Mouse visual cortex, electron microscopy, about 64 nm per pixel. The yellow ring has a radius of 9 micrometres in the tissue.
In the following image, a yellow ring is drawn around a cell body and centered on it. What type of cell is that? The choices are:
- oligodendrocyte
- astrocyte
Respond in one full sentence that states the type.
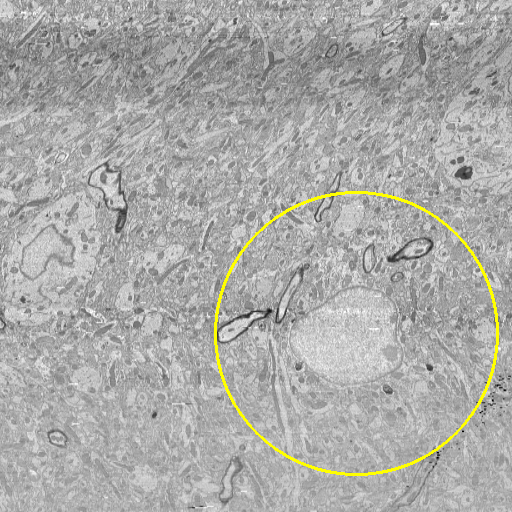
The cell at the center of the yellow ring in the image is an astrocyte.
